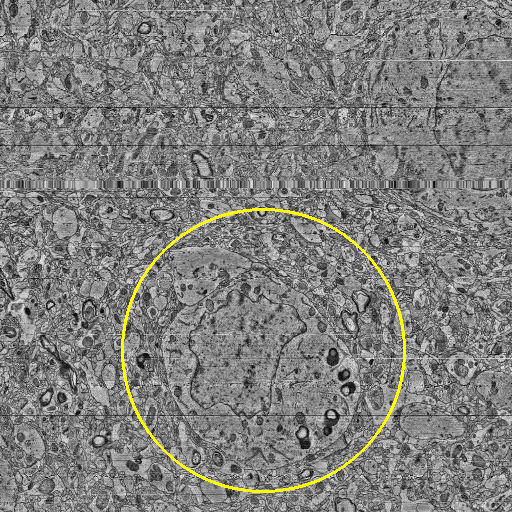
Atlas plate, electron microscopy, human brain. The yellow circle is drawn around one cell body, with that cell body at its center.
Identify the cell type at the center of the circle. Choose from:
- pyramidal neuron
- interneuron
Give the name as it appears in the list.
pyramidal neuron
